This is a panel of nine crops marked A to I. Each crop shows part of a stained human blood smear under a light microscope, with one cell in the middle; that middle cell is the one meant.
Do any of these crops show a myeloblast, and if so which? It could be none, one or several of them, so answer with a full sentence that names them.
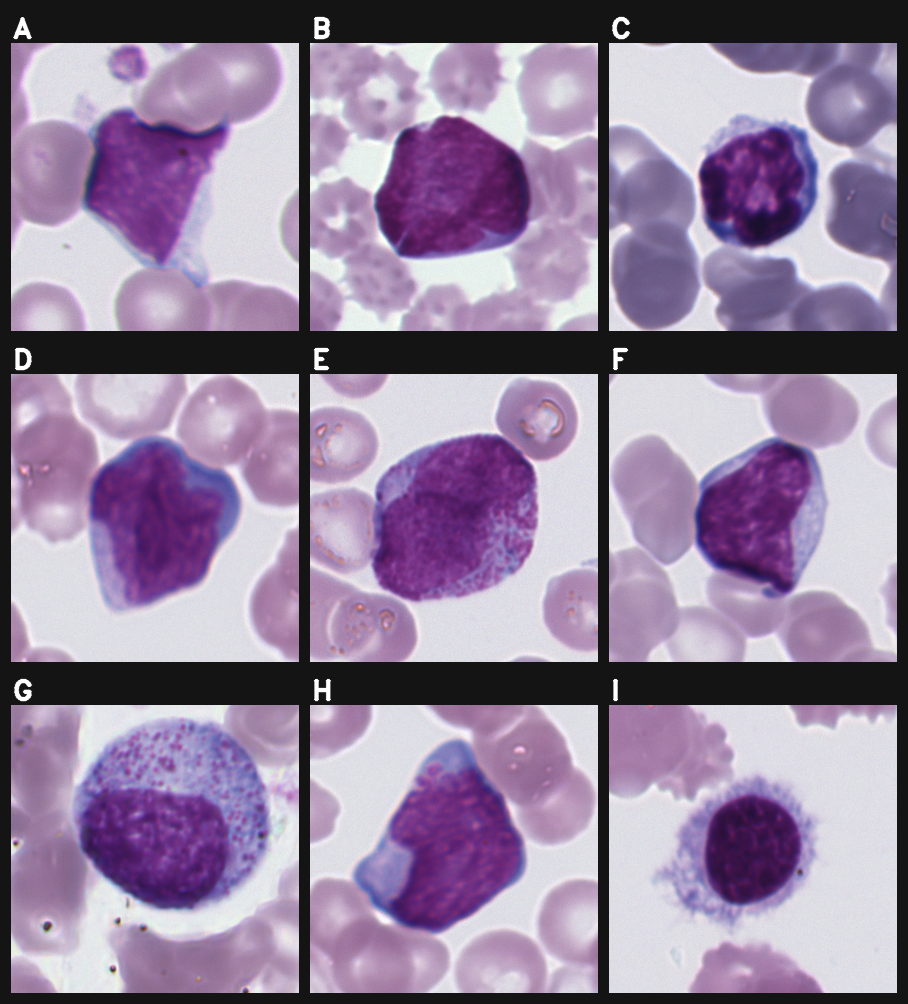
What crops B, D and H show in the centre are myeloblasts.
